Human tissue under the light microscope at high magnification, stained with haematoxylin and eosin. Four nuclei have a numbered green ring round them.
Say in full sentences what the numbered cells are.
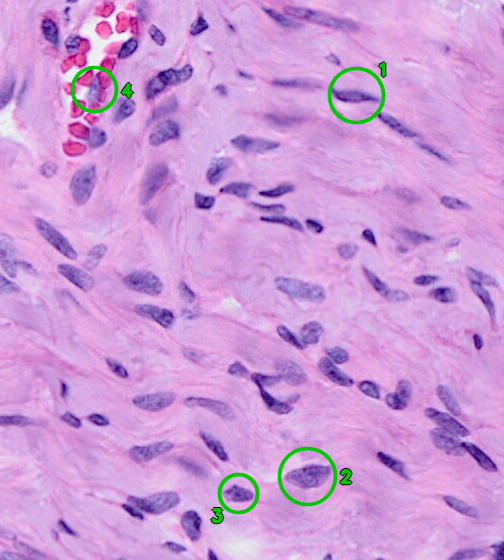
Cells 1, 2 and 3 are fibroblasts. Cell 4 is an endothelial cell.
